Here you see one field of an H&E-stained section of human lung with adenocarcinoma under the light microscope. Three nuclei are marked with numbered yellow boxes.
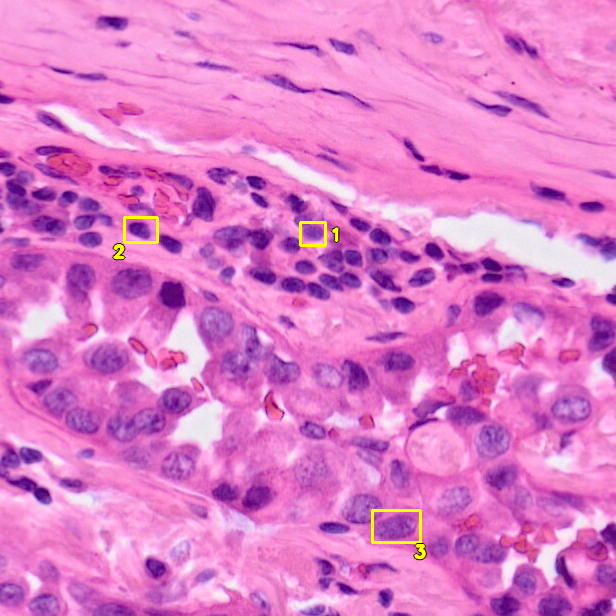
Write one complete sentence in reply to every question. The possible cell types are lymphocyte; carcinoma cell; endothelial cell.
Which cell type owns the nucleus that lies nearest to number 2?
The nearest nucleus to number 2 belongs to an endothelial cell.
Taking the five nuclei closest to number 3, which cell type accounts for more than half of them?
Around number 3, most of the five nearest nuclei are those of carcinoma cells.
